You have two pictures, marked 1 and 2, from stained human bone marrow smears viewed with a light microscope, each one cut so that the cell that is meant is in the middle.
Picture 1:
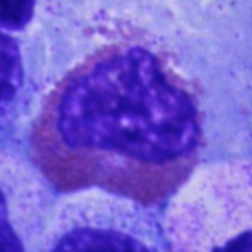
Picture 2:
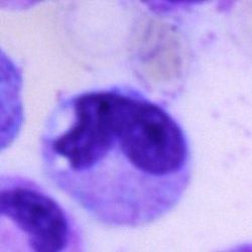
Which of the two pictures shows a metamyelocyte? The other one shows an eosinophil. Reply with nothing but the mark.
2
